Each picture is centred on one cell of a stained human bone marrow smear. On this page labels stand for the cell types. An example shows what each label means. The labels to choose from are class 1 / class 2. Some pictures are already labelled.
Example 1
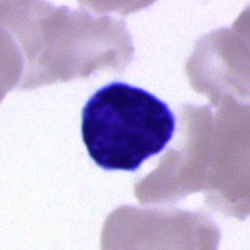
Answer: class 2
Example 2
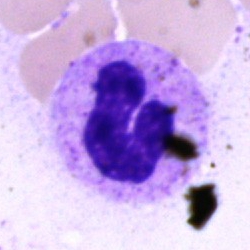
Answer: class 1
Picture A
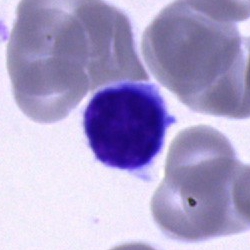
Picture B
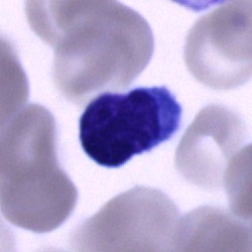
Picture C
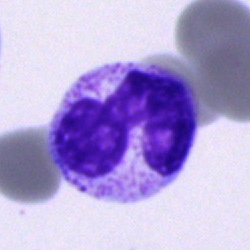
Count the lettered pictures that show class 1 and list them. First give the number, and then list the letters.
1: C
